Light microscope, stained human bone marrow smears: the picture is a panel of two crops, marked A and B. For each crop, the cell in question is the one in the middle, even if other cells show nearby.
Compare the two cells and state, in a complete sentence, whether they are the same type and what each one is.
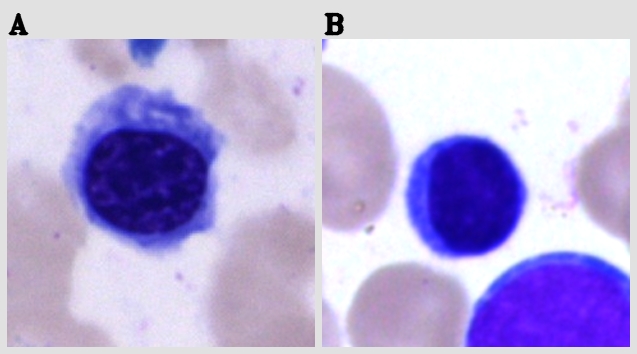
No, a lymphocyte is the cell in crop B, and crop A contains a normoblast.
